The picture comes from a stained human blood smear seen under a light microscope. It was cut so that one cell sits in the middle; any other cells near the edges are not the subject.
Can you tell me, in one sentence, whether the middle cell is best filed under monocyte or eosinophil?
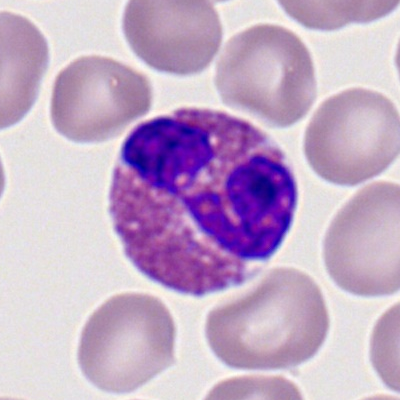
By type, the central cell of the crop is an eosinophil.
